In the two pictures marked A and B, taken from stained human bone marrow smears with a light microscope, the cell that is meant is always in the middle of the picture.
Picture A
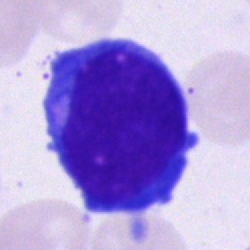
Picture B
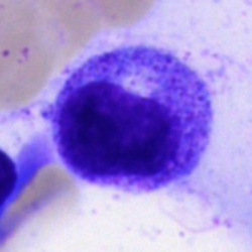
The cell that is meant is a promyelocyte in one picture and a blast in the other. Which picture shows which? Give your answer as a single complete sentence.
Picture A shows a blast and picture B shows a promyelocyte.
